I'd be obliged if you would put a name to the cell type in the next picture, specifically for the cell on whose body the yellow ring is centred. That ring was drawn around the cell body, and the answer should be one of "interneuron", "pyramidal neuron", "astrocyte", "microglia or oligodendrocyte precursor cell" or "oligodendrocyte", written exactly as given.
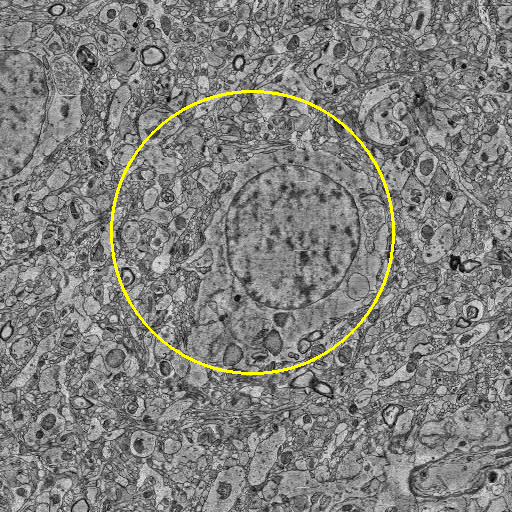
astrocyte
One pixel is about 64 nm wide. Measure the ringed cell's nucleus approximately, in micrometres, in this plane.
About 9 micrometres across in this plane.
